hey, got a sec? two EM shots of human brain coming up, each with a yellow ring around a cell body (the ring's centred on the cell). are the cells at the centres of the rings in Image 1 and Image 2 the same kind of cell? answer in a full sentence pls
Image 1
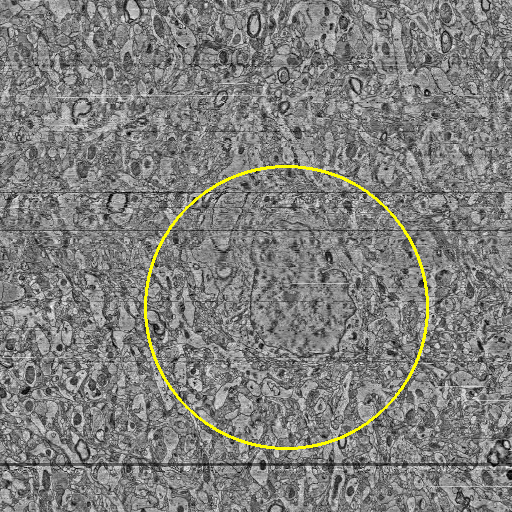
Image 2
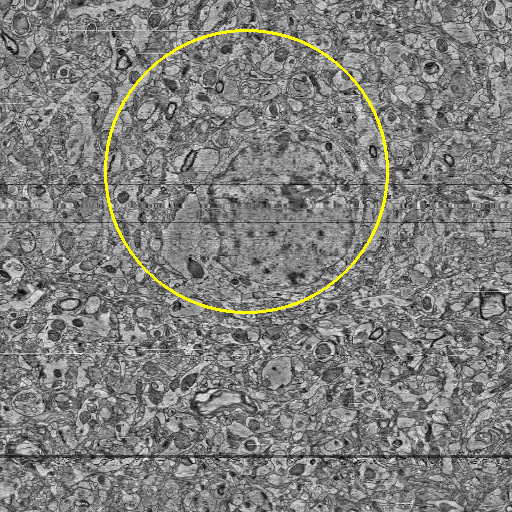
Yes, both are the same kind of cell.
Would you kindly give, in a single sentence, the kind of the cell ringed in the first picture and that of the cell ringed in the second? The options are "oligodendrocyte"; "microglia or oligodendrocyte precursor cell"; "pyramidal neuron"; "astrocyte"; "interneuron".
The ring centre holds an interneuron in each of the two pictures.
